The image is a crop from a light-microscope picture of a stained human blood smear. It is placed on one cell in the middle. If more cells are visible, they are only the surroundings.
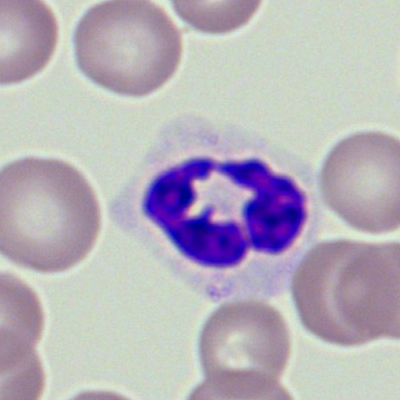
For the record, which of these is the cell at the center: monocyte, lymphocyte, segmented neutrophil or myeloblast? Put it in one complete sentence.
Among the cells in view, the one in the middle is a segmented neutrophil.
